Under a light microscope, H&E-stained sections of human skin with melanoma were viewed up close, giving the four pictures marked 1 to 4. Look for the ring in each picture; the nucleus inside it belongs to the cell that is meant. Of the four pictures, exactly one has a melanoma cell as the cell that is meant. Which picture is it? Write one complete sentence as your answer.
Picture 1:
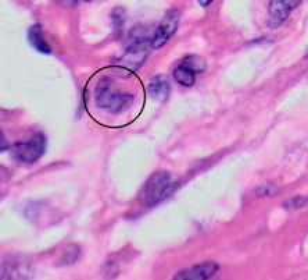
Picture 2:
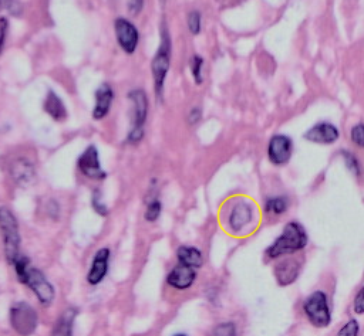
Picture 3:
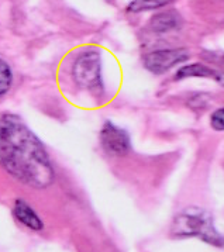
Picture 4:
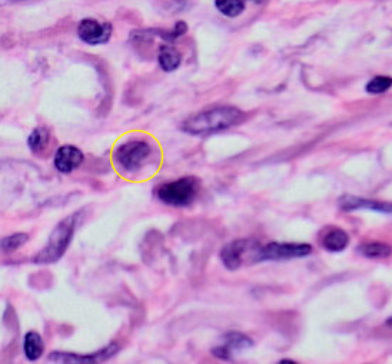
The picture with the melanoma cell is 3.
